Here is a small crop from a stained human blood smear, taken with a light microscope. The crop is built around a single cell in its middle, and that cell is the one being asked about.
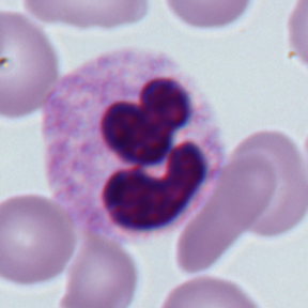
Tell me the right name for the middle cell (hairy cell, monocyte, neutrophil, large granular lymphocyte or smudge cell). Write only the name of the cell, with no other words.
neutrophil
